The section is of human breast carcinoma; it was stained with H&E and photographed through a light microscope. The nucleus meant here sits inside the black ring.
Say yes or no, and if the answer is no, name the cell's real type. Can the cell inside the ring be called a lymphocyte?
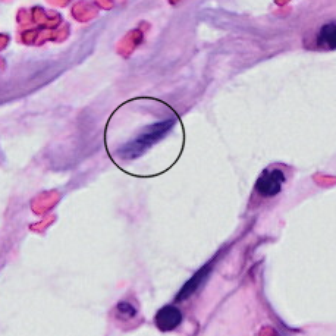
No, it is a fibroblast.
